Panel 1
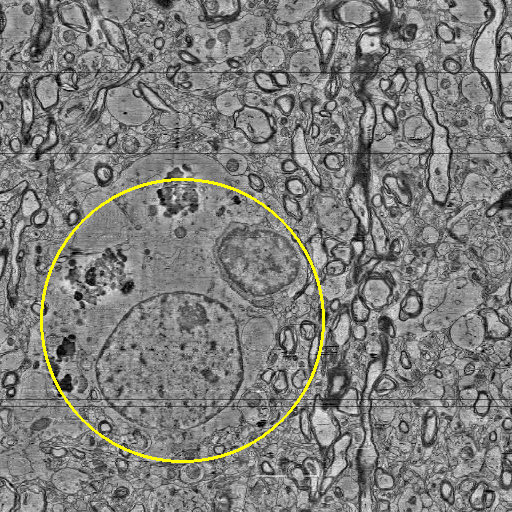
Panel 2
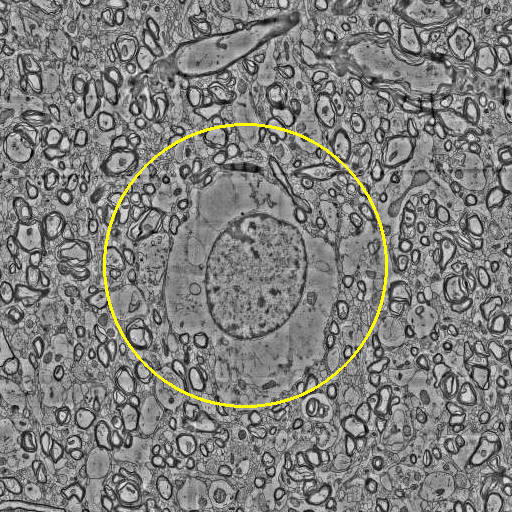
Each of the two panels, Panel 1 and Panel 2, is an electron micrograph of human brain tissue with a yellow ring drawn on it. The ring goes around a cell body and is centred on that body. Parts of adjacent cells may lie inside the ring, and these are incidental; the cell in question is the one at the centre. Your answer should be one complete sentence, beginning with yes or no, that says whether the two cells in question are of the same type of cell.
Yes, the two cells are of the same type.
